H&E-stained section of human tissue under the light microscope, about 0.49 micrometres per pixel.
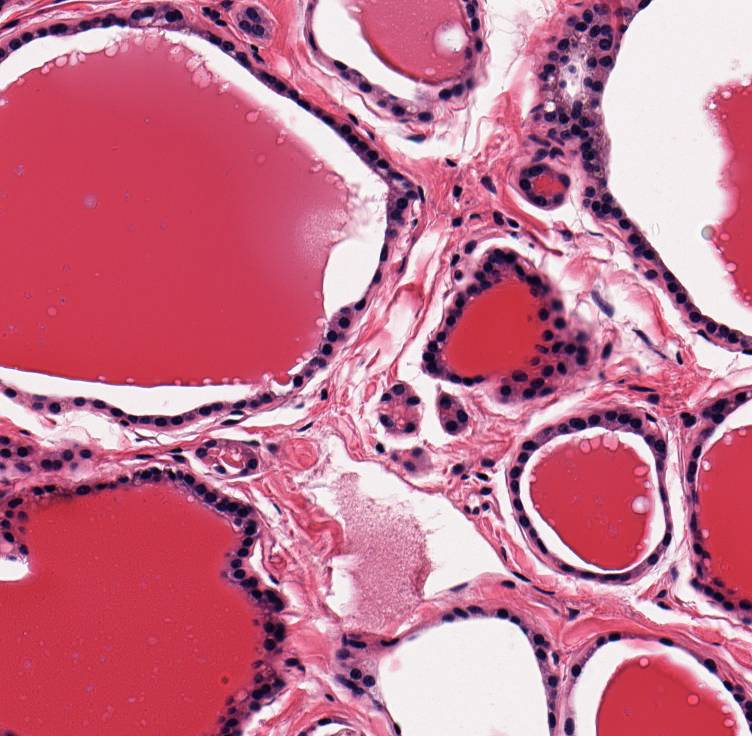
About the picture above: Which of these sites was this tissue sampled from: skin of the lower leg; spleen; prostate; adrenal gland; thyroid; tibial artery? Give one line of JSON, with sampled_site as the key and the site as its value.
{"sampled_site": "thyroid"}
